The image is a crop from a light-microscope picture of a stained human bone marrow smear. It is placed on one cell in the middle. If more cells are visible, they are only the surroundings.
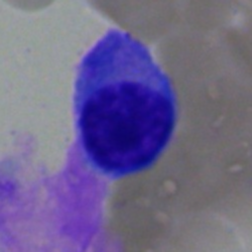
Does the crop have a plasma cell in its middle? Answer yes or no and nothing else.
yes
